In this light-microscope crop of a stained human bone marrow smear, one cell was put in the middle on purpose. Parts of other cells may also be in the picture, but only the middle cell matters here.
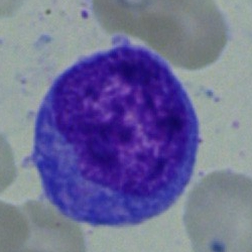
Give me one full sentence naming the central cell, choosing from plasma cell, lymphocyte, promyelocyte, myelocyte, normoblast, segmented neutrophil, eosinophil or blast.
In the centre of this crop there is a promyelocyte.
